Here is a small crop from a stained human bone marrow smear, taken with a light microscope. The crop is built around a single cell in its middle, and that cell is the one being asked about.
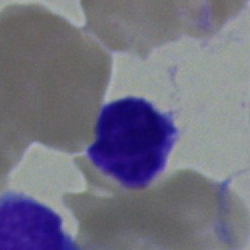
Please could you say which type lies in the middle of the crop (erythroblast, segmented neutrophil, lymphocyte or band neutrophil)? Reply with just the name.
lymphocyte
